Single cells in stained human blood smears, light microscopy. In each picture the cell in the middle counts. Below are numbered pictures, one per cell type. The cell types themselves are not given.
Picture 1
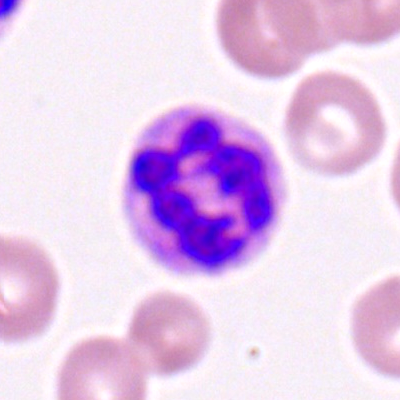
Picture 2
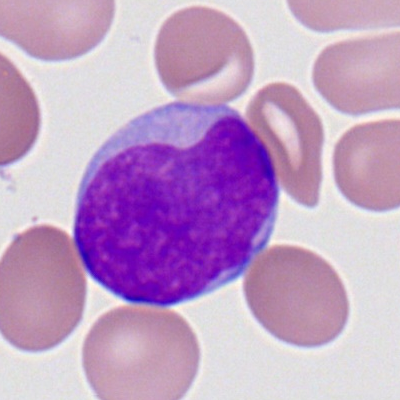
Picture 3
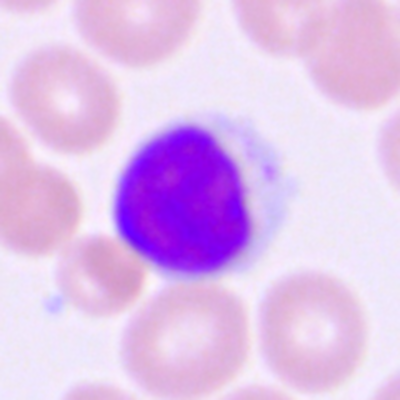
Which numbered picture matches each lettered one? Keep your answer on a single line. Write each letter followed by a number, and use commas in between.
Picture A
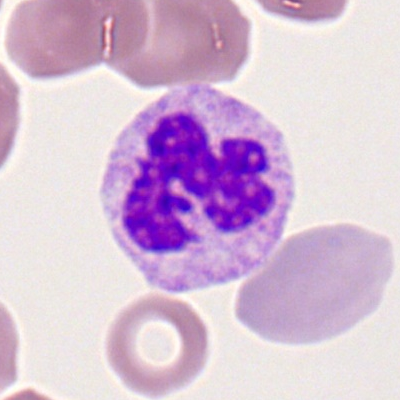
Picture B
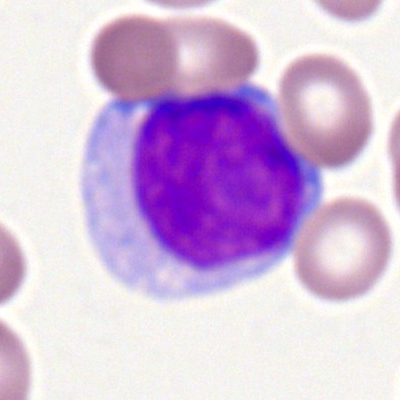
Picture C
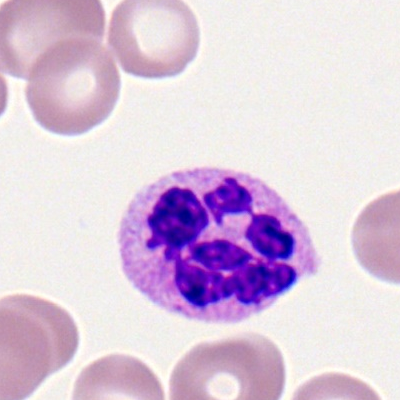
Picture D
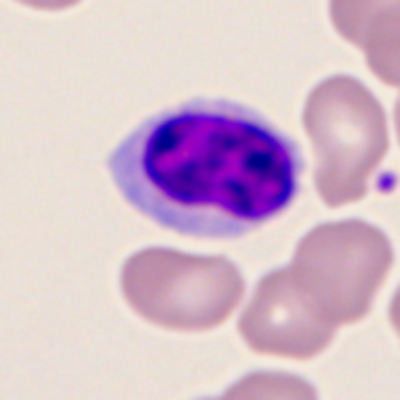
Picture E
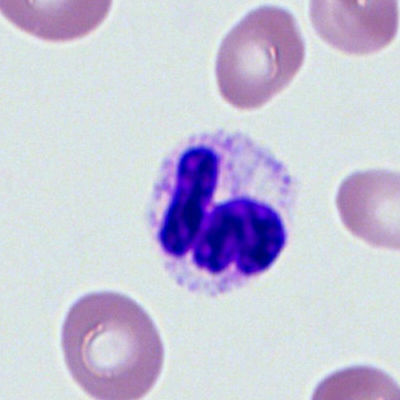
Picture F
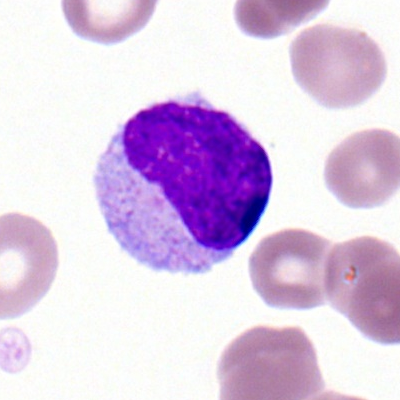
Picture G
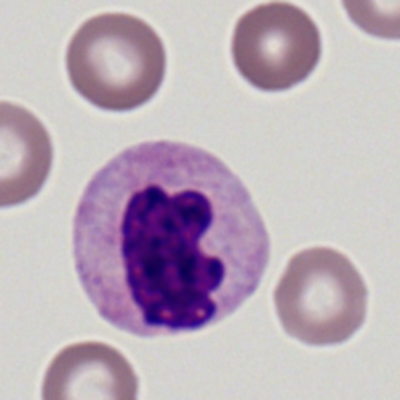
A 1, B 2, C 1, D 3, E 1, F 3, G 1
